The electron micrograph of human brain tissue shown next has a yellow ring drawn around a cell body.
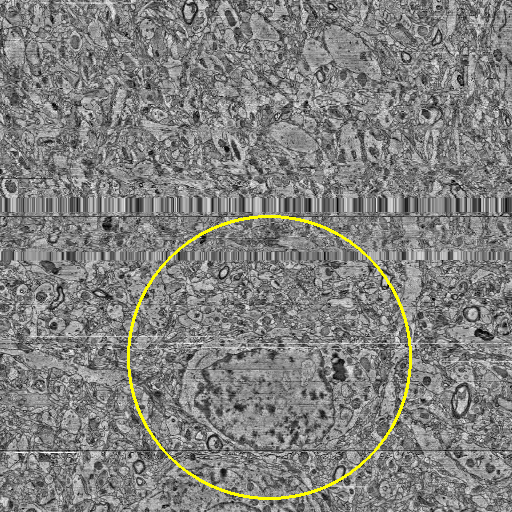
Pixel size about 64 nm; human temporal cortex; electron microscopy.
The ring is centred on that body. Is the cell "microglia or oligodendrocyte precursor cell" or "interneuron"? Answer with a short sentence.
The cell in question is an interneuron.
